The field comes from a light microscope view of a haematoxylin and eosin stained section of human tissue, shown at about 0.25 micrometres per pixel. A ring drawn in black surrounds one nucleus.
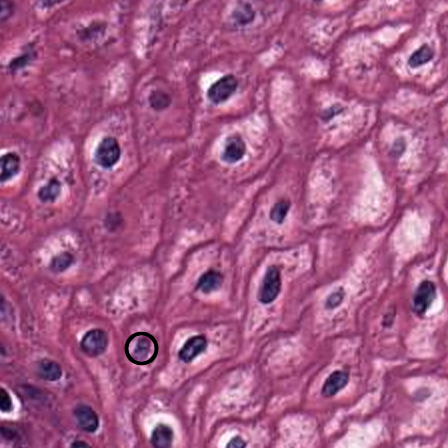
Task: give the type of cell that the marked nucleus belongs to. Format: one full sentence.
The marked nucleus sits within a squamous epithelial cell.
